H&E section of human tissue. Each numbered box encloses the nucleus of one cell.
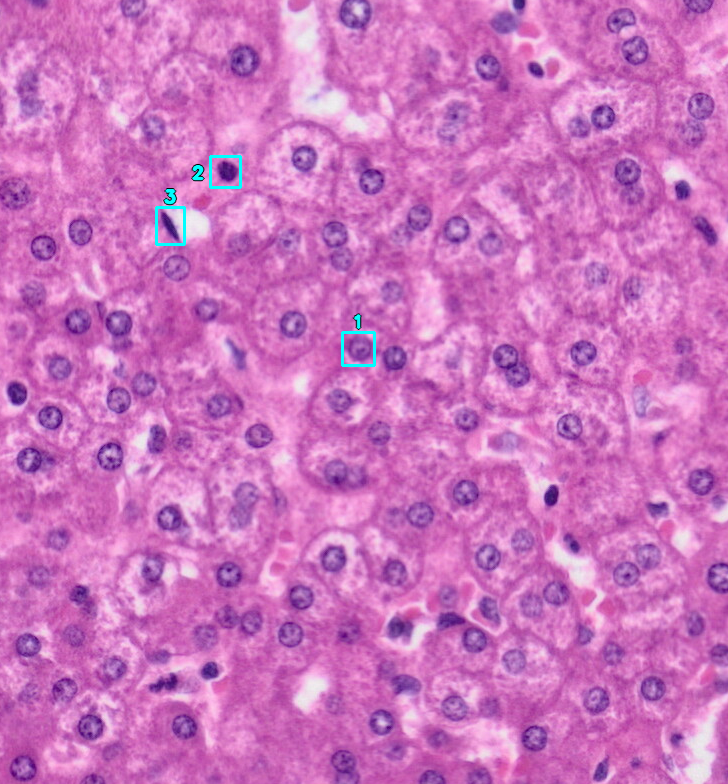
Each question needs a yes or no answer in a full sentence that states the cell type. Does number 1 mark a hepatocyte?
Yes, the cell that goes by number 1 is a hepatocyte.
